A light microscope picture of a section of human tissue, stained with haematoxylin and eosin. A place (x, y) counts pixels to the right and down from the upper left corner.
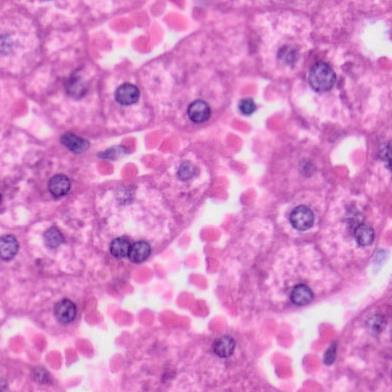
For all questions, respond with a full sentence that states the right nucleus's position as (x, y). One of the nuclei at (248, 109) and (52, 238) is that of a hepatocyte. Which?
The nucleus positioned at (52, 238) is the one that belongs to a hepatocyte.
